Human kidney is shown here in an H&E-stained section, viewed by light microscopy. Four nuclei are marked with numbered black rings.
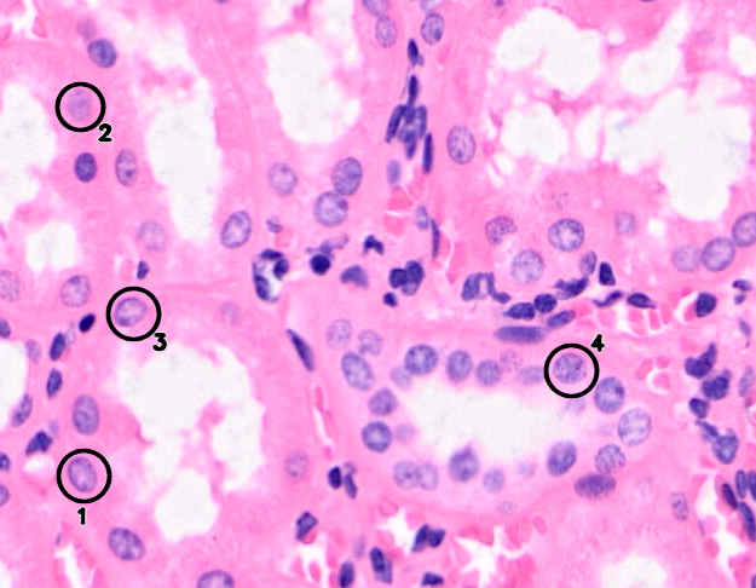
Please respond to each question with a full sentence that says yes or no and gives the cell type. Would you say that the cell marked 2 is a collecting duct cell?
No, the cell with the number 2 is a proximal tubule cell, not a collecting duct cell.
